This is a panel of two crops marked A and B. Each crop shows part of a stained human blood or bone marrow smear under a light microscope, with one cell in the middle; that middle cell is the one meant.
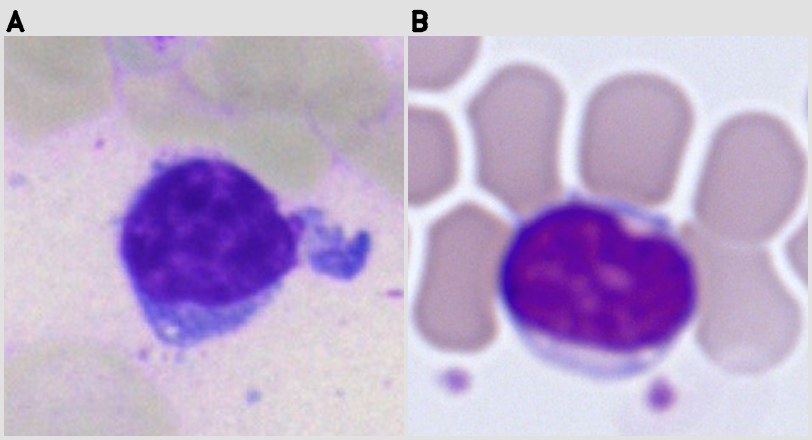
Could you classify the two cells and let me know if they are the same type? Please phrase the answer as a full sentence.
Yes, the two crops both show lymphocytes.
